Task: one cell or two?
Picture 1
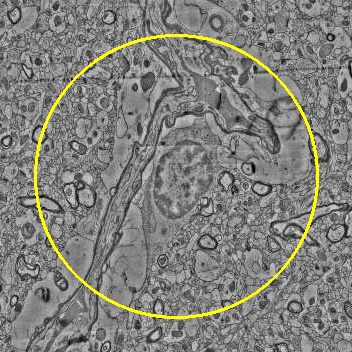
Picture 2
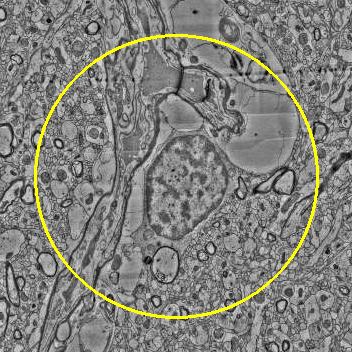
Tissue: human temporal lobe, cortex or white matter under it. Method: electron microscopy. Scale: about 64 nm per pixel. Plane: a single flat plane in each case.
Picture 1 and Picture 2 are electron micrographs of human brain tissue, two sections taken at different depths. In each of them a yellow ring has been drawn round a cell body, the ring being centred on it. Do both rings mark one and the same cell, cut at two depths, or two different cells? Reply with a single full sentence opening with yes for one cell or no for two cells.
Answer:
Yes, one and the same cell lies under both rings.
